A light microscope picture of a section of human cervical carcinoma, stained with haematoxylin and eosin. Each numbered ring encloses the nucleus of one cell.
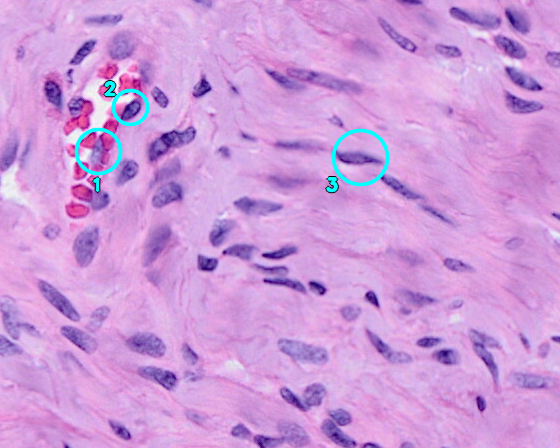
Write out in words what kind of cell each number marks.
Cells 1 and 2 are endothelial cells. Cell 3 is a fibroblast.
